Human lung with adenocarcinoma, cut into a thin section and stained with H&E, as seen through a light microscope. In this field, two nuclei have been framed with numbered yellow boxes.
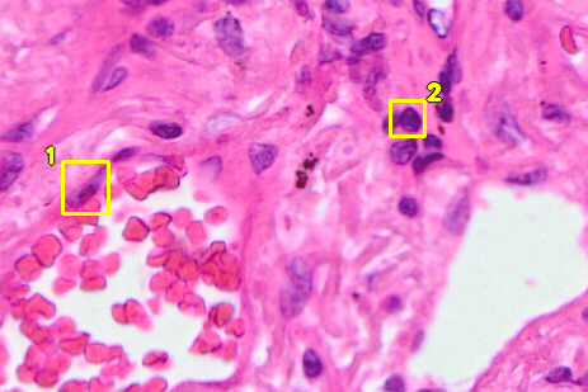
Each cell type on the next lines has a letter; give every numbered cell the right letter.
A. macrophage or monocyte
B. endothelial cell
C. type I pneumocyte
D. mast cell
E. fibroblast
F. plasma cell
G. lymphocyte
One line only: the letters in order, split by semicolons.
B; G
